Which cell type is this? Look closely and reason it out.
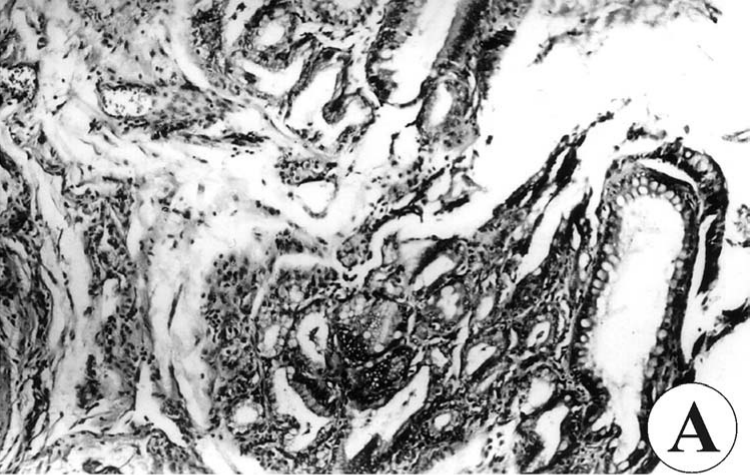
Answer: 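Goblet cells. A gland at the right is lined by tall columnar epithelium. Many rounded pale, clear cells sit in a row within this lining. Smaller gland profiles lie in a cellular stroma at the centre.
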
